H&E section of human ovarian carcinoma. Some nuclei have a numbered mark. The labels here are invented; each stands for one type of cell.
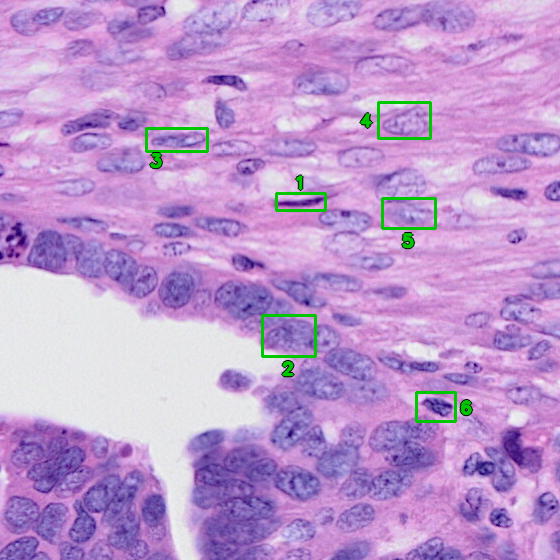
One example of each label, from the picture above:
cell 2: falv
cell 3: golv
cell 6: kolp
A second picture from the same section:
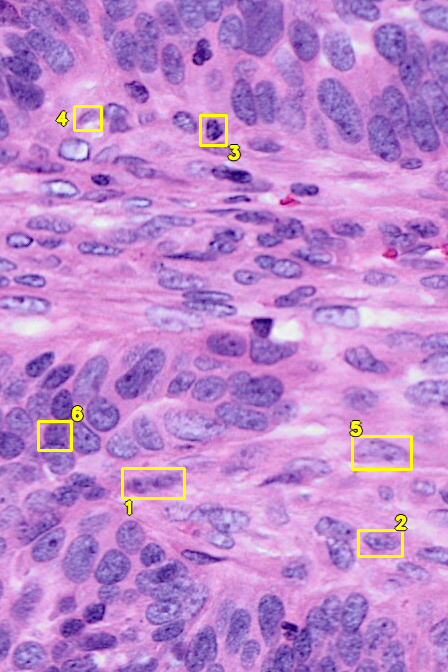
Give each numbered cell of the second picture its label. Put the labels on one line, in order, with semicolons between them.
golv; golv; kolp; golv; golv; falv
